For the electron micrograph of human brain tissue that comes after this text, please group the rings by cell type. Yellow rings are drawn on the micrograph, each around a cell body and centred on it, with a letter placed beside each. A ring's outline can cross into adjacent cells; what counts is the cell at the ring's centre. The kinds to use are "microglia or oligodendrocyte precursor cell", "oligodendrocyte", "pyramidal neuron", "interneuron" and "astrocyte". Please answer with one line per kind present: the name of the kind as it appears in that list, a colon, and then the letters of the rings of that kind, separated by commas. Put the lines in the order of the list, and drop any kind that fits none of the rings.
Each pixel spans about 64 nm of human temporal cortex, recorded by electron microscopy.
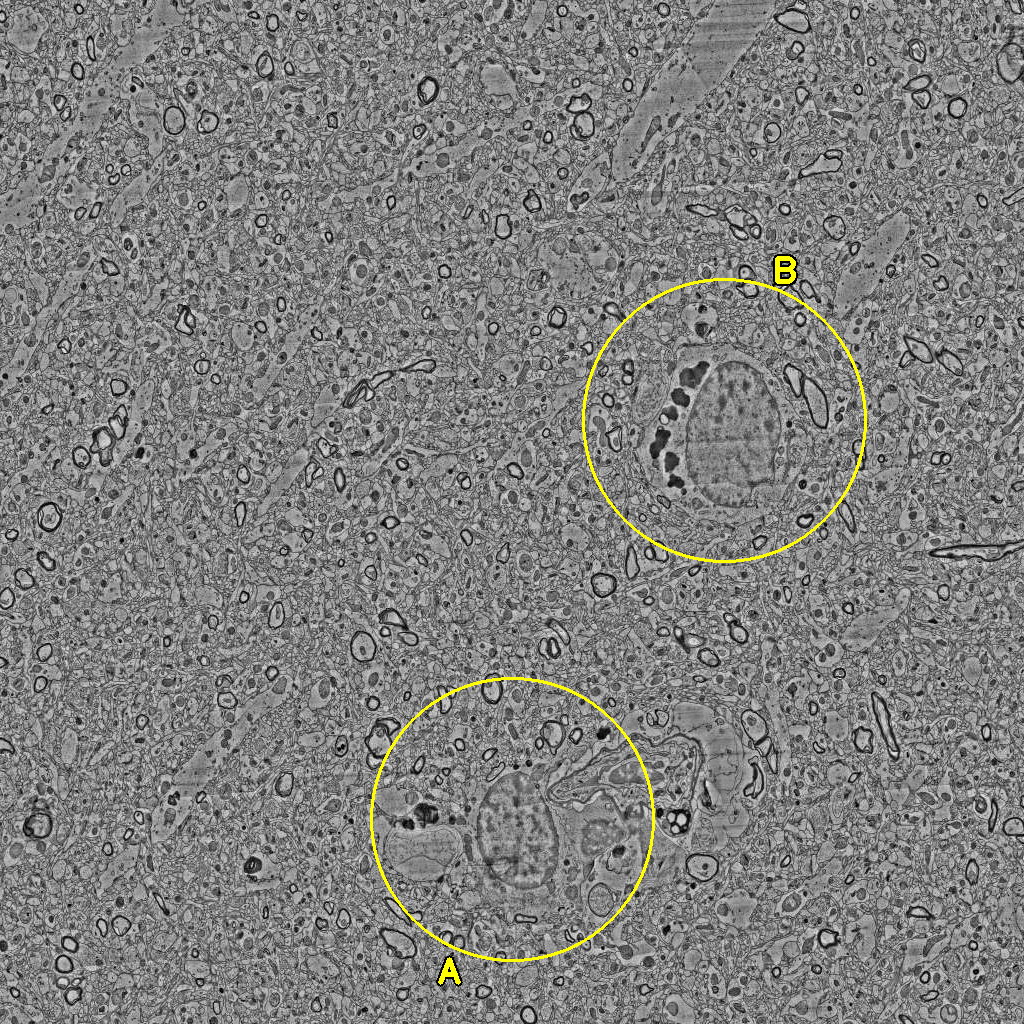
oligodendrocyte: A
interneuron: B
